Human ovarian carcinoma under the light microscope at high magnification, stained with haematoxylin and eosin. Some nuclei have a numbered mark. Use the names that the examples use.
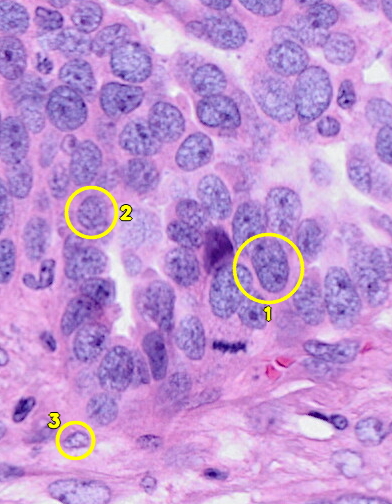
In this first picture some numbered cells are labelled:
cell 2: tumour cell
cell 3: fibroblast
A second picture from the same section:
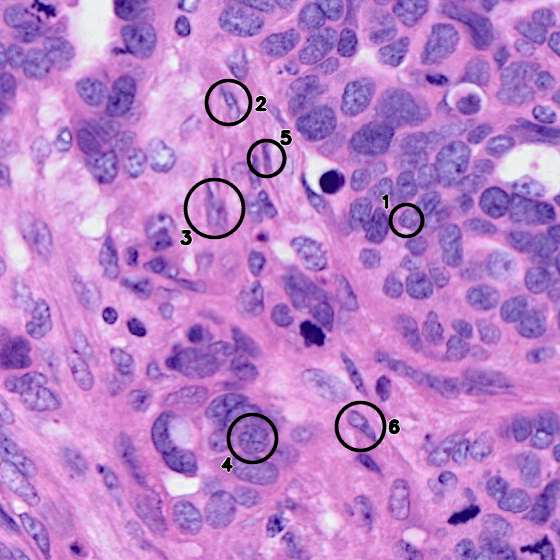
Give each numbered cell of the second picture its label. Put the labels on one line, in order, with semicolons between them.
tumour cell; fibroblast; fibroblast; tumour cell; fibroblast; fibroblast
